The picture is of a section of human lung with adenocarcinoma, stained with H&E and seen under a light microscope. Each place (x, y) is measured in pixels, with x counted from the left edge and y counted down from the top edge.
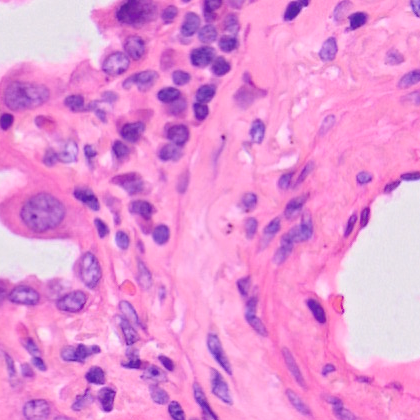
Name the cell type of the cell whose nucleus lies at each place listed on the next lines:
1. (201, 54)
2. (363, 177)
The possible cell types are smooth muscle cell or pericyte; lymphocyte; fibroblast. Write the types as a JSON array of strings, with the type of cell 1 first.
["lymphocyte", "smooth muscle cell or pericyte"]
